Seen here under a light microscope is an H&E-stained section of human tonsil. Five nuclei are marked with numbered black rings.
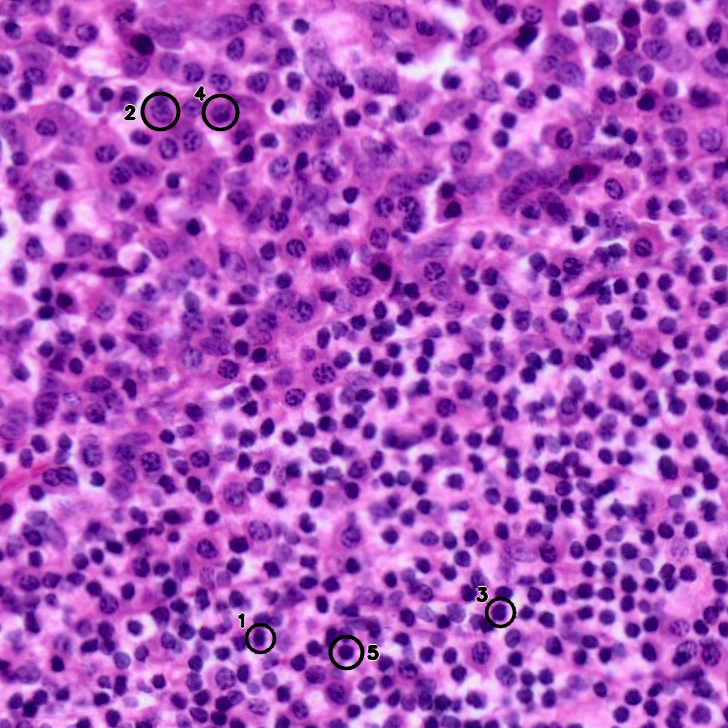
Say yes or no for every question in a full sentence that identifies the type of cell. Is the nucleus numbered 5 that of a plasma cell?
No, cell 5 is classified as a small lymphocyte rather than a plasma cell.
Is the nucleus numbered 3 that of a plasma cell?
No, as for cell 3, it is a small lymphocyte and not a plasma cell.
